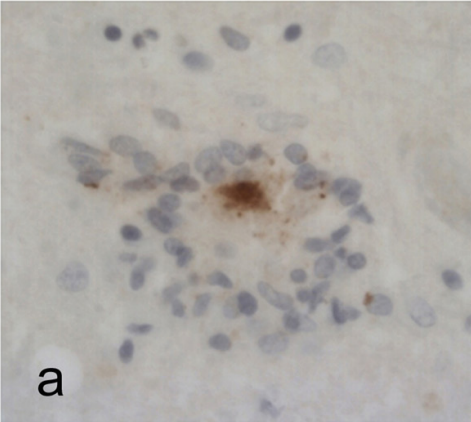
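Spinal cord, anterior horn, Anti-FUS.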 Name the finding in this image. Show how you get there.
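A dense cluster of many small dark blue nuclei gathers in one spot. A small patch of brown stain lies at the centre of the cluster. No intact large cell body is seen inside the cluster.
Conclusion: neuronophagia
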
